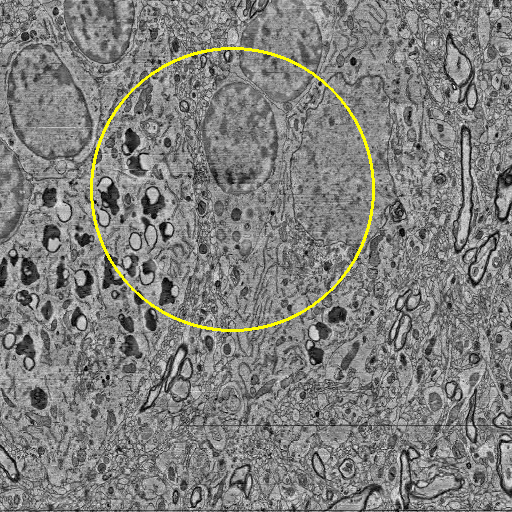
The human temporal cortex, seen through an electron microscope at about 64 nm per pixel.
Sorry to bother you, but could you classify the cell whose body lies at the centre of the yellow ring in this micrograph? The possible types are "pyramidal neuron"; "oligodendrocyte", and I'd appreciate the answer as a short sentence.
The ringed cell body is that of an oligodendrocyte.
